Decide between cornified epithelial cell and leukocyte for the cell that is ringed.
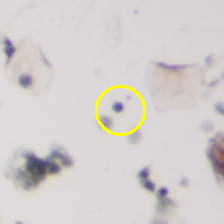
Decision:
I take the ringed cell for a leukocyte.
